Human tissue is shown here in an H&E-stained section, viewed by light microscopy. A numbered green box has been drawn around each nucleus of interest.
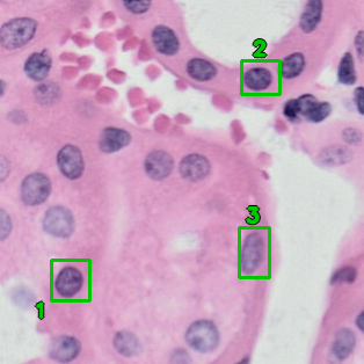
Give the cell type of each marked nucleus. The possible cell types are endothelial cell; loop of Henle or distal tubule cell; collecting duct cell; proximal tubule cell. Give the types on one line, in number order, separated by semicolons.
proximal tubule cell; collecting duct cell; proximal tubule cell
